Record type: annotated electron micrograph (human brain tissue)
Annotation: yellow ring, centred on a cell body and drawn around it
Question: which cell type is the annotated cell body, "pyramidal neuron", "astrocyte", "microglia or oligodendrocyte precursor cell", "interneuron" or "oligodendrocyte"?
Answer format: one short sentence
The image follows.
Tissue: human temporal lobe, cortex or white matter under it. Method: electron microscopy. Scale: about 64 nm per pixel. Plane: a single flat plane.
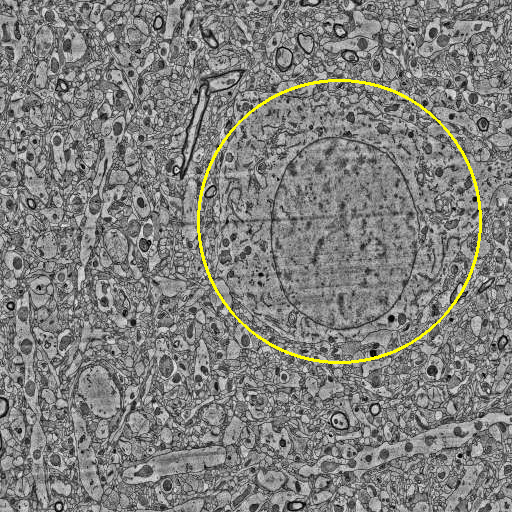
The annotated cell body is that of a pyramidal neuron.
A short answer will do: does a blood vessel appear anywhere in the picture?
No, no blood vessel can be seen.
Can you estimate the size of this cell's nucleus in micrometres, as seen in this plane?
In this plane the nucleus measures roughly 13 by 10 micrometers.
